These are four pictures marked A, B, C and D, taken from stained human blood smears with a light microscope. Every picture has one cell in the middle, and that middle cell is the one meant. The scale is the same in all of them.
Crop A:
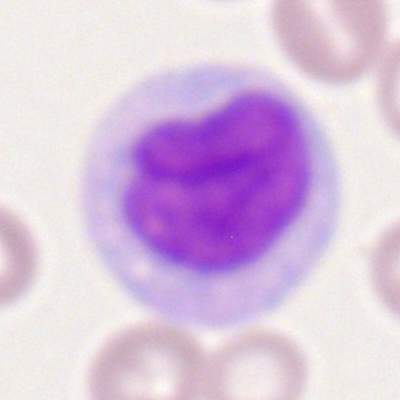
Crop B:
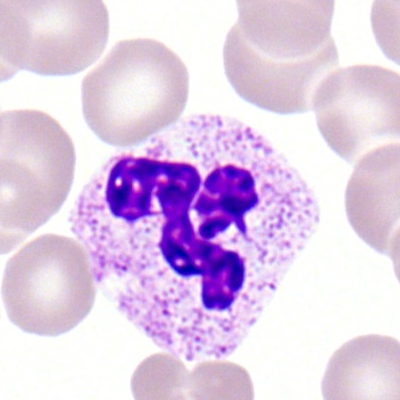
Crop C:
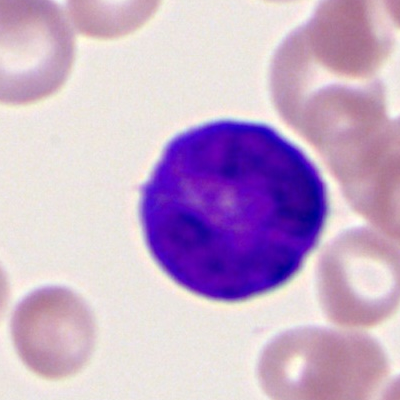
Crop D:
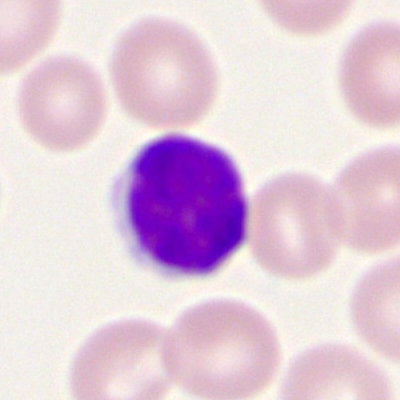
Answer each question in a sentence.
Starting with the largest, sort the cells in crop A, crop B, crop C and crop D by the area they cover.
The order is A, B, C, D, beginning with the largest.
